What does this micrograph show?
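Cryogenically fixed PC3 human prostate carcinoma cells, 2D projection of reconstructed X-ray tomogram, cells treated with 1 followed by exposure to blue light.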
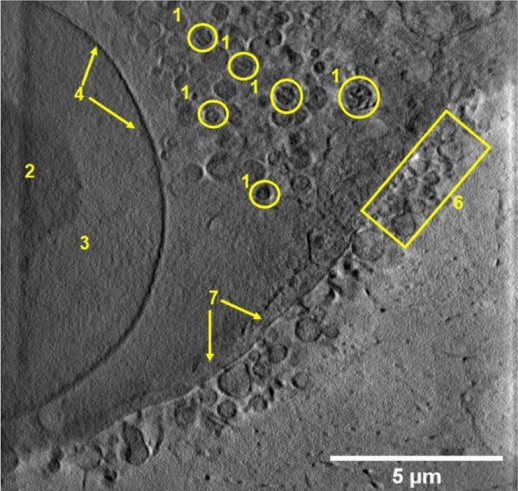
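The nucleus is a large, homogeneous, rounded region bounded by a thin, dark, smoothly curved nuclear membrane, and a darker patch within it is the nucleolus. The cytoplasm holds many small round organelles, and clusters of small spherical vesicles line the cell margin.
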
